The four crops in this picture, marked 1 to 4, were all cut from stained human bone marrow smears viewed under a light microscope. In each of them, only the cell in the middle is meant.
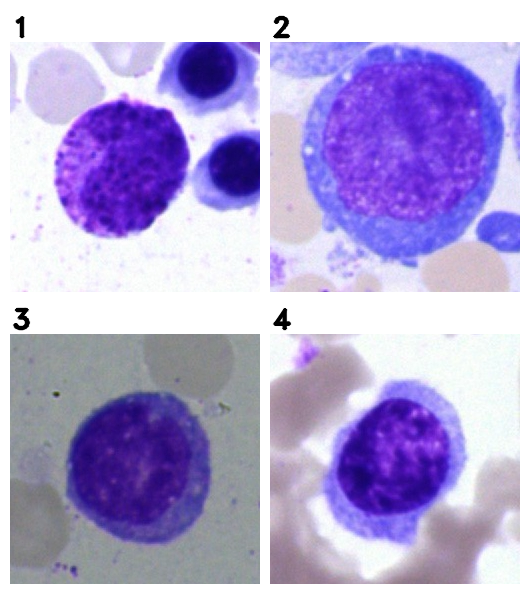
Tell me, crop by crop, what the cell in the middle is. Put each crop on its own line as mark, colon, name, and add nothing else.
1: basophil
2: blast
3: monocyte
4: hairy cell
